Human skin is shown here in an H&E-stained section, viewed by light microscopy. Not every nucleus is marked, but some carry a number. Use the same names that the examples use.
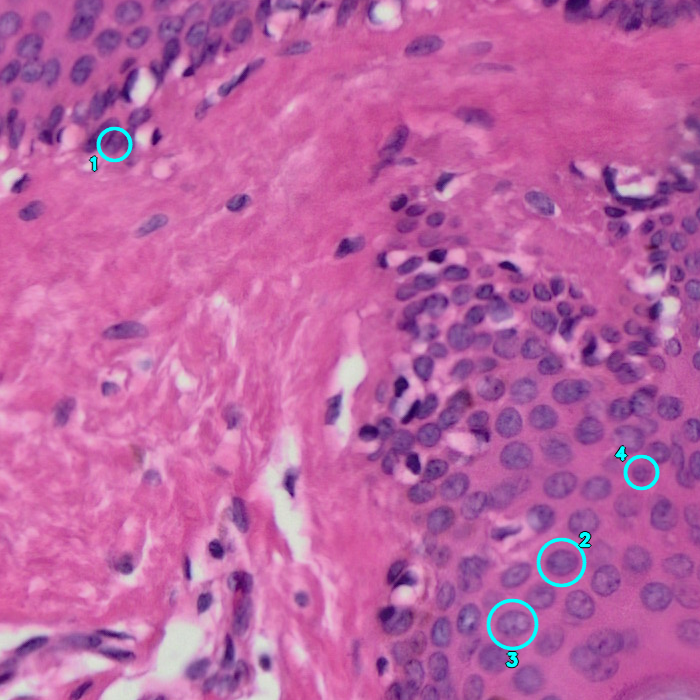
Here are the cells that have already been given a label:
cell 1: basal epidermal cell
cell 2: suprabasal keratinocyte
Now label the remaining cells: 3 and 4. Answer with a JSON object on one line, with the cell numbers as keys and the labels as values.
{"3": "suprabasal keratinocyte", "4": "suprabasal keratinocyte"}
